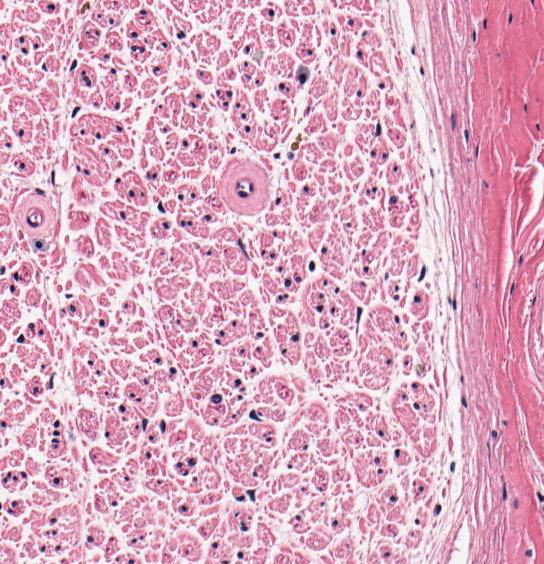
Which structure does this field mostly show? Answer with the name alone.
nerve fascicle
